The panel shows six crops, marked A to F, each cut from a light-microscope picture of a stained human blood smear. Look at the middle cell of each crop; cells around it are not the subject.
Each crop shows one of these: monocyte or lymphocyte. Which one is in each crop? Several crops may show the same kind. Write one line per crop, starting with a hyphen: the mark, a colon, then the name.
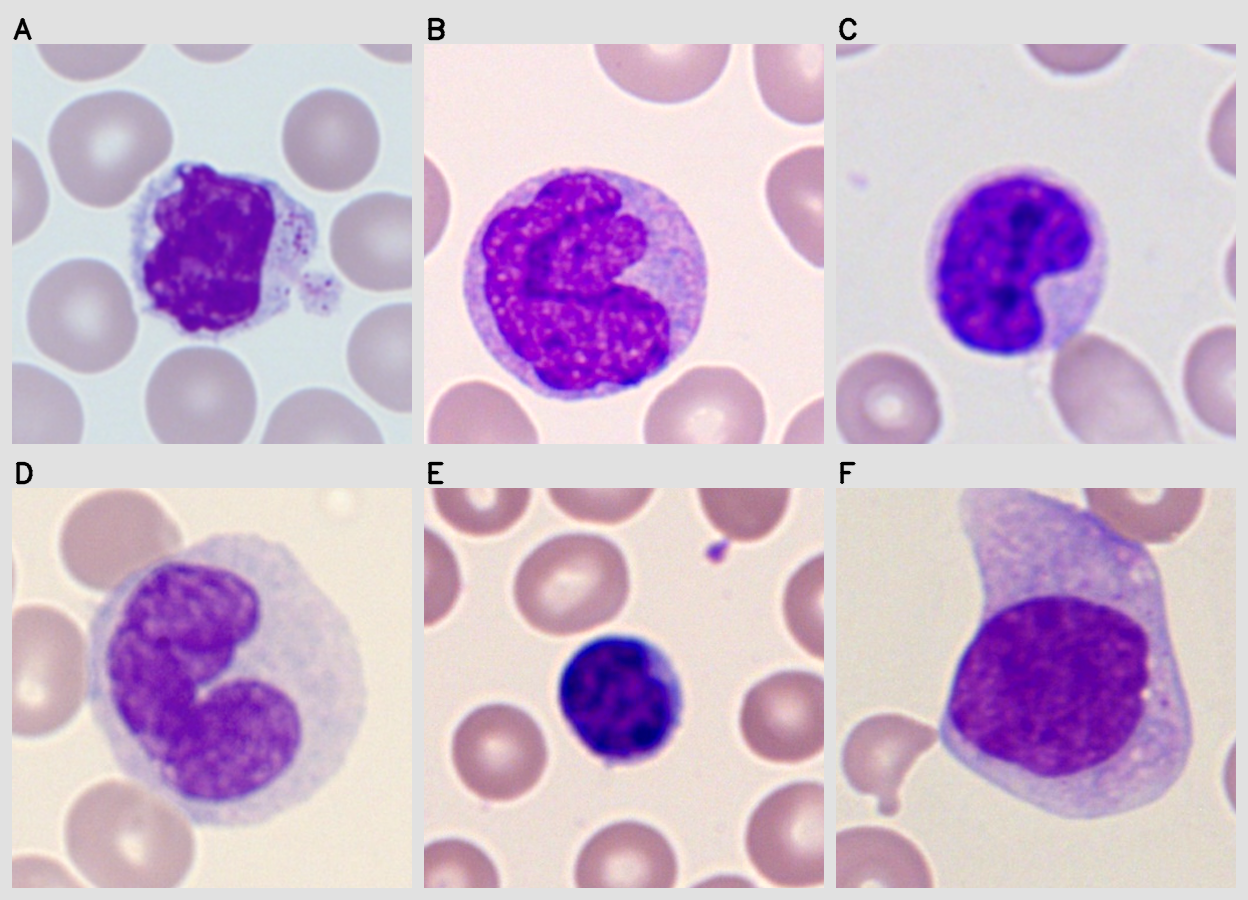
- A: lymphocyte
- B: monocyte
- C: lymphocyte
- D: monocyte
- E: lymphocyte
- F: monocyte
